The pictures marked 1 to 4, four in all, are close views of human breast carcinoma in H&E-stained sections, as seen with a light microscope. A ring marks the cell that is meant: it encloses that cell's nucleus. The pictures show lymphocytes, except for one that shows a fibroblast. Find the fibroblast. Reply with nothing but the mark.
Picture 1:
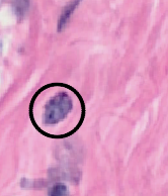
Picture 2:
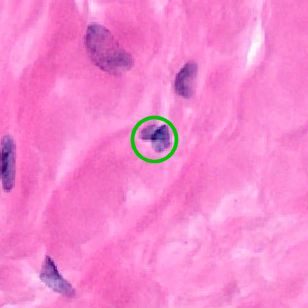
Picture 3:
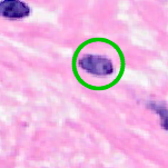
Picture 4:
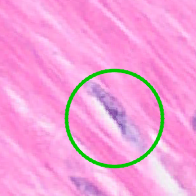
4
